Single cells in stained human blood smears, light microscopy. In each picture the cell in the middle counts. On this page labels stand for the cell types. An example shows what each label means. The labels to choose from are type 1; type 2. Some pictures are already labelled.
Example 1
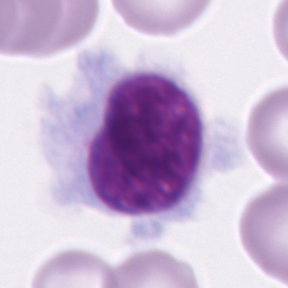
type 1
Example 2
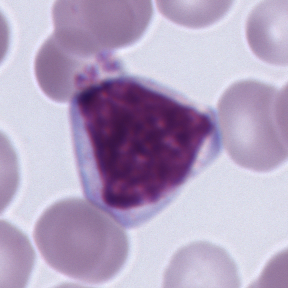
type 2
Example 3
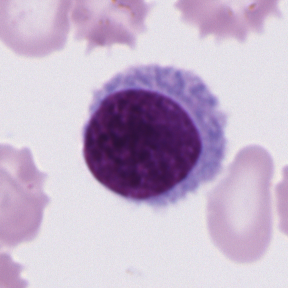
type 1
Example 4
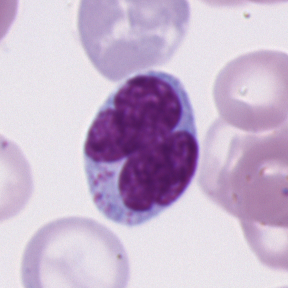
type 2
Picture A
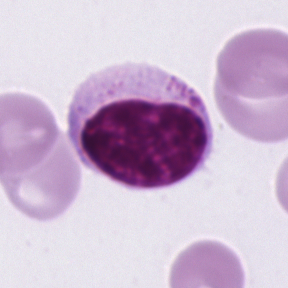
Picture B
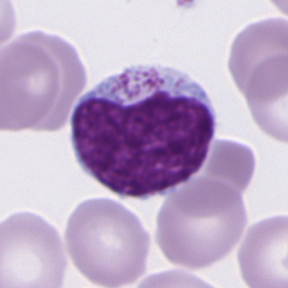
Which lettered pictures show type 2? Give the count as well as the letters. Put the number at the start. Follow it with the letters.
Count: 2 (A, B)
